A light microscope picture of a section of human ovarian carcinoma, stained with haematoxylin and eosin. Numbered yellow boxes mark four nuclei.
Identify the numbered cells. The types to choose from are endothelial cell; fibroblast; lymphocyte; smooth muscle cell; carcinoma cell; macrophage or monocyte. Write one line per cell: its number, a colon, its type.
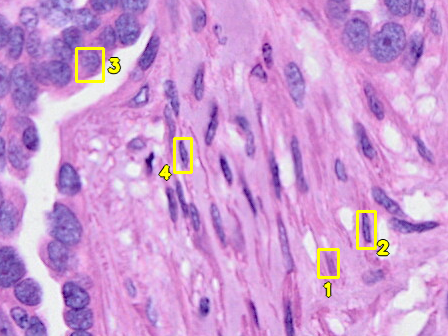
1: fibroblast
2: fibroblast
3: carcinoma cell
4: fibroblast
